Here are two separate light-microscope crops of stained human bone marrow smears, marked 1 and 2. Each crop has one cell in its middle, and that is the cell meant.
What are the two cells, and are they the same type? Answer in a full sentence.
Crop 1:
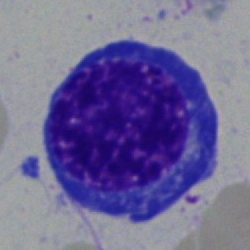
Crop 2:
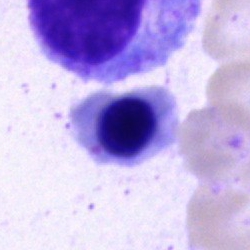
Yes, both crops contain erythroblasts at their centres.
